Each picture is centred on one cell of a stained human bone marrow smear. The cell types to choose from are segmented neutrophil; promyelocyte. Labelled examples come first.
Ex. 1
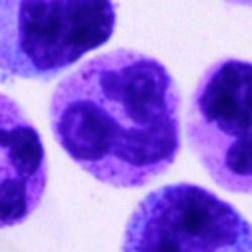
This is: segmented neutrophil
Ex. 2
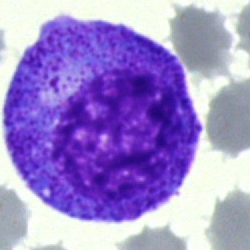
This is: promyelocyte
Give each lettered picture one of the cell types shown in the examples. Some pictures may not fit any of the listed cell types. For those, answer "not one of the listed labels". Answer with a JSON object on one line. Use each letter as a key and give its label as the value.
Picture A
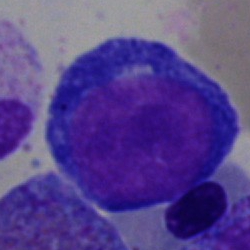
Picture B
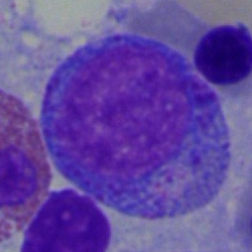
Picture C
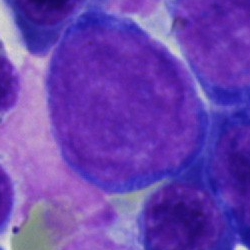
{"A": "not one of the listed labels", "B": "promyelocyte", "C": "not one of the listed labels"}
